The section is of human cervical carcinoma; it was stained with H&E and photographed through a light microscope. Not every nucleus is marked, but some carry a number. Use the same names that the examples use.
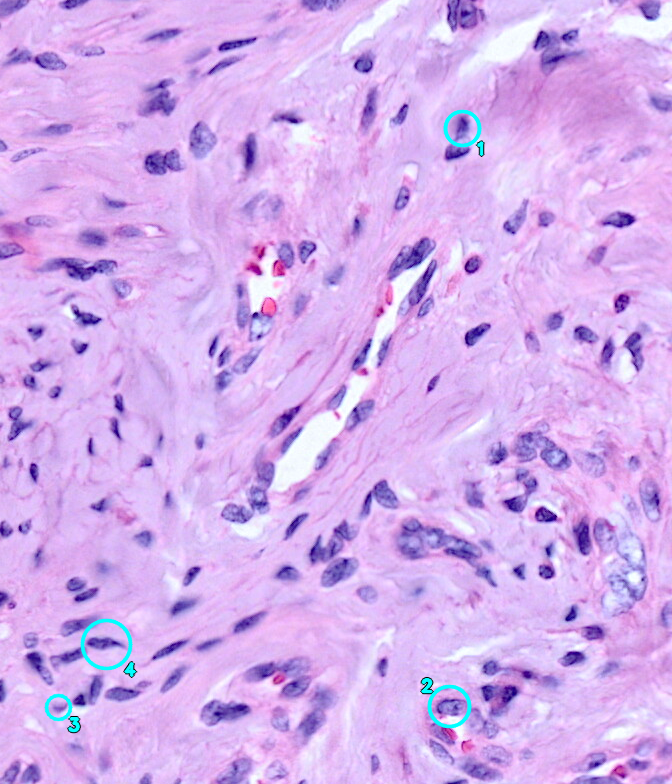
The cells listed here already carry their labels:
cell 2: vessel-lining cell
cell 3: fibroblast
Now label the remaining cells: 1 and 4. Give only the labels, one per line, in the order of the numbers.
fibroblast
fibroblast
